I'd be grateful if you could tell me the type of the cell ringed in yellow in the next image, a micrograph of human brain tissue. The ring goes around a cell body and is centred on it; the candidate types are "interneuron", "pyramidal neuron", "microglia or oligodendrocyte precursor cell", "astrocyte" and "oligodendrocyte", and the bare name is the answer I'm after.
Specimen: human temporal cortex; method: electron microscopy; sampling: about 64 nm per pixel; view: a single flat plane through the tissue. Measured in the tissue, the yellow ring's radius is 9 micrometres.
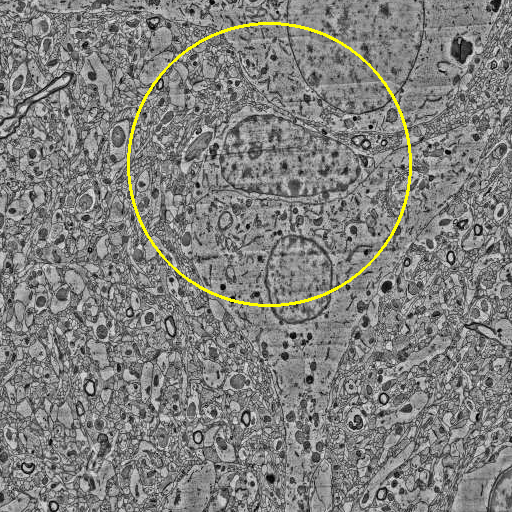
microglia or oligodendrocyte precursor cell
